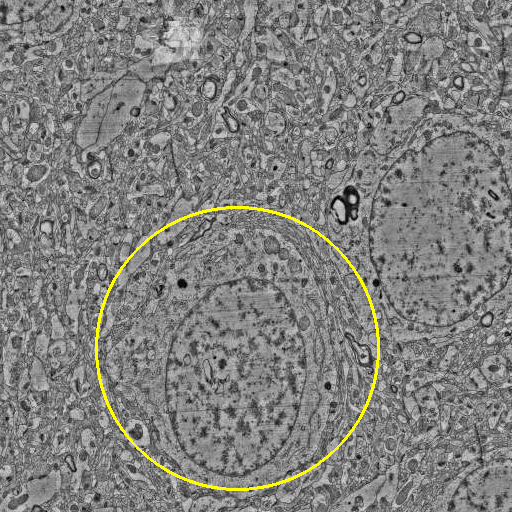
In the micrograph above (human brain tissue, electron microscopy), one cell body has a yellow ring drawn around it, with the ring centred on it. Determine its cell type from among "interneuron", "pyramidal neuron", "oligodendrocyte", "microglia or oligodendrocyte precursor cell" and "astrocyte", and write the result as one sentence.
The cell whose body is ringed is an interneuron.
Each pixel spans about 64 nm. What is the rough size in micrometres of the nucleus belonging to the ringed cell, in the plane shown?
Approximately 13 micrometres long and 9 micrometres wide, in this plane.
